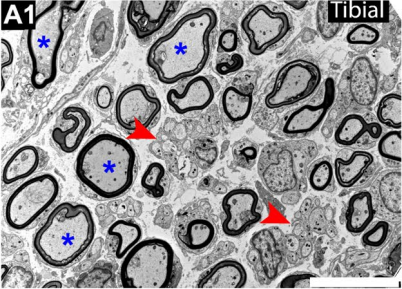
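A cross section of peripheral nerve shows myelinated and unmyelinated axons at high magnification. The myelinated axons are round to irregular pale profiles, each wrapped by a thick, sharply dark ring of myelin; several are large, while others are small and some have folded, indented outlines. Between them lie clusters of small pale axons without any dark ring, grouped together within surrounding cell cytoplasm. Scattered nuclei and cytoplasm of the cells that ensheath the axons appear as greyer, more granular areas, and pale spaces of connective tissue separate the fibres.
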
